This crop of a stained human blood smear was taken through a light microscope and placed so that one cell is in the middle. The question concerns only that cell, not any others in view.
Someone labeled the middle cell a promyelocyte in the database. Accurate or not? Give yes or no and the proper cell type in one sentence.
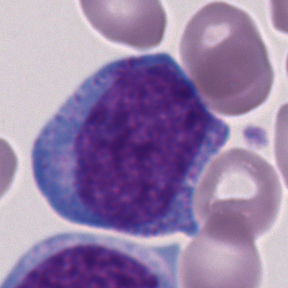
Yes, this crop has a promyelocyte at its centre.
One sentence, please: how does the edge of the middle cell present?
Rather than running smoothly, the cell border is ragged or carries projections.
